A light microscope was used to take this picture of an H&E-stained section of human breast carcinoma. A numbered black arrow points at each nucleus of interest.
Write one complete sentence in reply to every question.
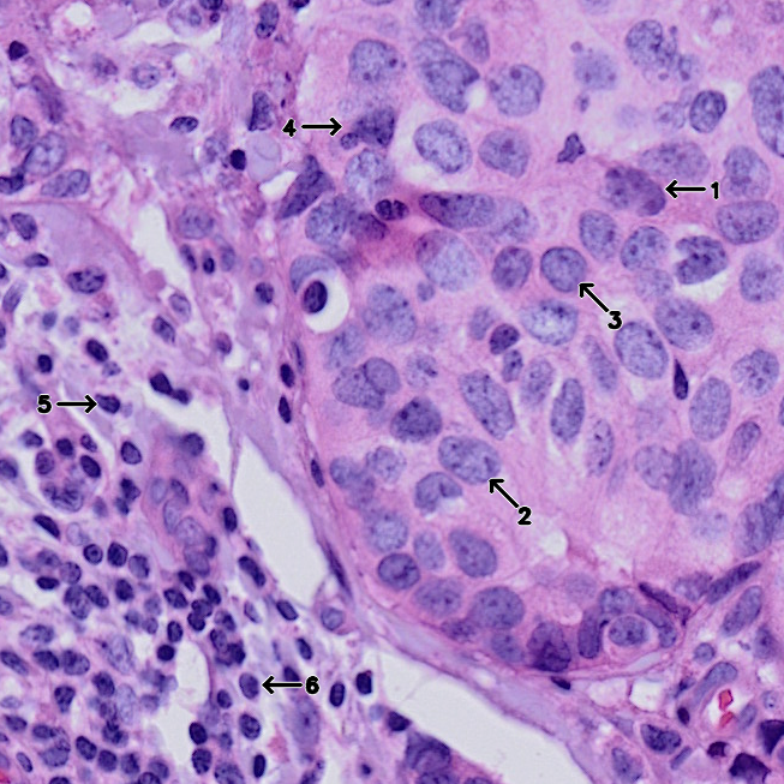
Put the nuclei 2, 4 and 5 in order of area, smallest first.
The order from the smallest nucleus to the largest is 5, 4, 2.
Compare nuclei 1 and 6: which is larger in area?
Nucleus 1 is larger, with an area about 4 times that of nucleus 6.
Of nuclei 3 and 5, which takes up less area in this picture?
Nucleus 5 is the smaller one; nucleus 3 covers about 4 times its area.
